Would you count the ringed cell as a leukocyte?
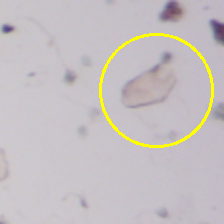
No, I would count it as a cornified epithelial cell.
